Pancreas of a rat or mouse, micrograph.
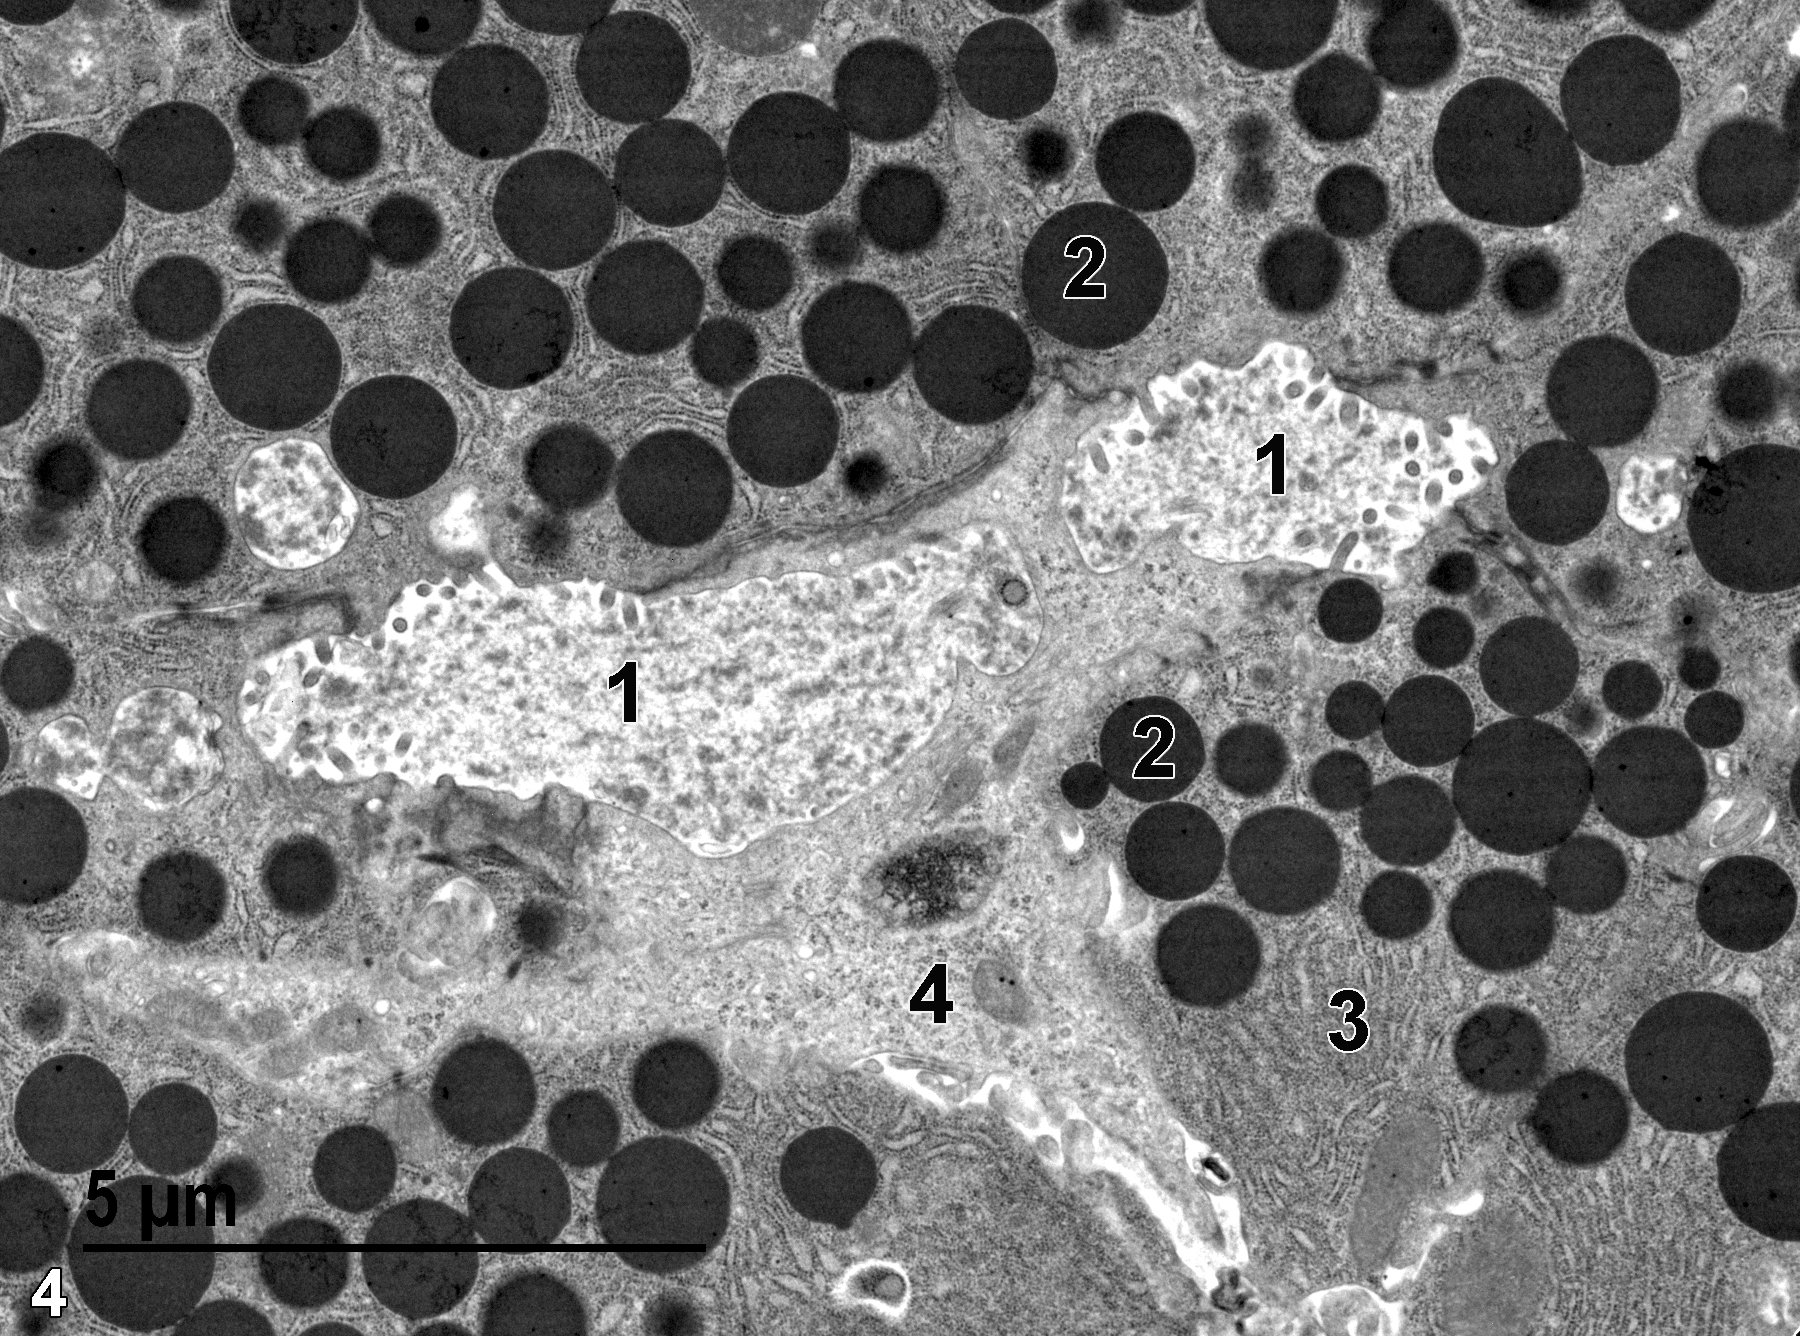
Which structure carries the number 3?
The number 3 marks the rough endoplasmic reticulum.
